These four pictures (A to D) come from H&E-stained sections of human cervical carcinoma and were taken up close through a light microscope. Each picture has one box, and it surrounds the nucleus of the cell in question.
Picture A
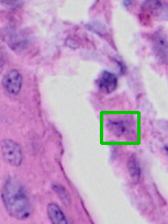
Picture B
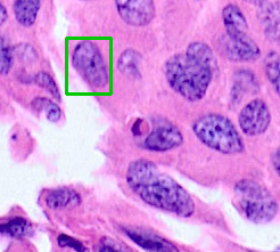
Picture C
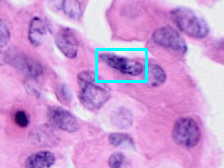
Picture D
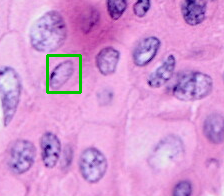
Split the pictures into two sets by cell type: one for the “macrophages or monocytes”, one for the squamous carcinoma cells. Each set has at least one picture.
A: macrophage or monocyte
B: squamous carcinoma cell
C: squamous carcinoma cell
D: squamous carcinoma cell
